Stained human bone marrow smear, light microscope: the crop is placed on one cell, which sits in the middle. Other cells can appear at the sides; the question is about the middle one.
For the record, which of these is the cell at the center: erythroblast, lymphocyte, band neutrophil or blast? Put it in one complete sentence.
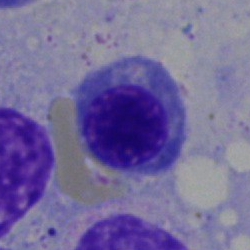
The cell shown in the center of this light-microscope crop is an erythroblast.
